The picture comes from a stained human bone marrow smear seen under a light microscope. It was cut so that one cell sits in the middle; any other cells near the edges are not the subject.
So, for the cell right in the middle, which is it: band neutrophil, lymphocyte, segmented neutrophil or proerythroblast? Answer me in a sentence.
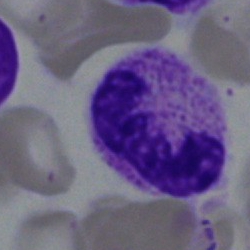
In short, the cell at the center is a band neutrophil.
